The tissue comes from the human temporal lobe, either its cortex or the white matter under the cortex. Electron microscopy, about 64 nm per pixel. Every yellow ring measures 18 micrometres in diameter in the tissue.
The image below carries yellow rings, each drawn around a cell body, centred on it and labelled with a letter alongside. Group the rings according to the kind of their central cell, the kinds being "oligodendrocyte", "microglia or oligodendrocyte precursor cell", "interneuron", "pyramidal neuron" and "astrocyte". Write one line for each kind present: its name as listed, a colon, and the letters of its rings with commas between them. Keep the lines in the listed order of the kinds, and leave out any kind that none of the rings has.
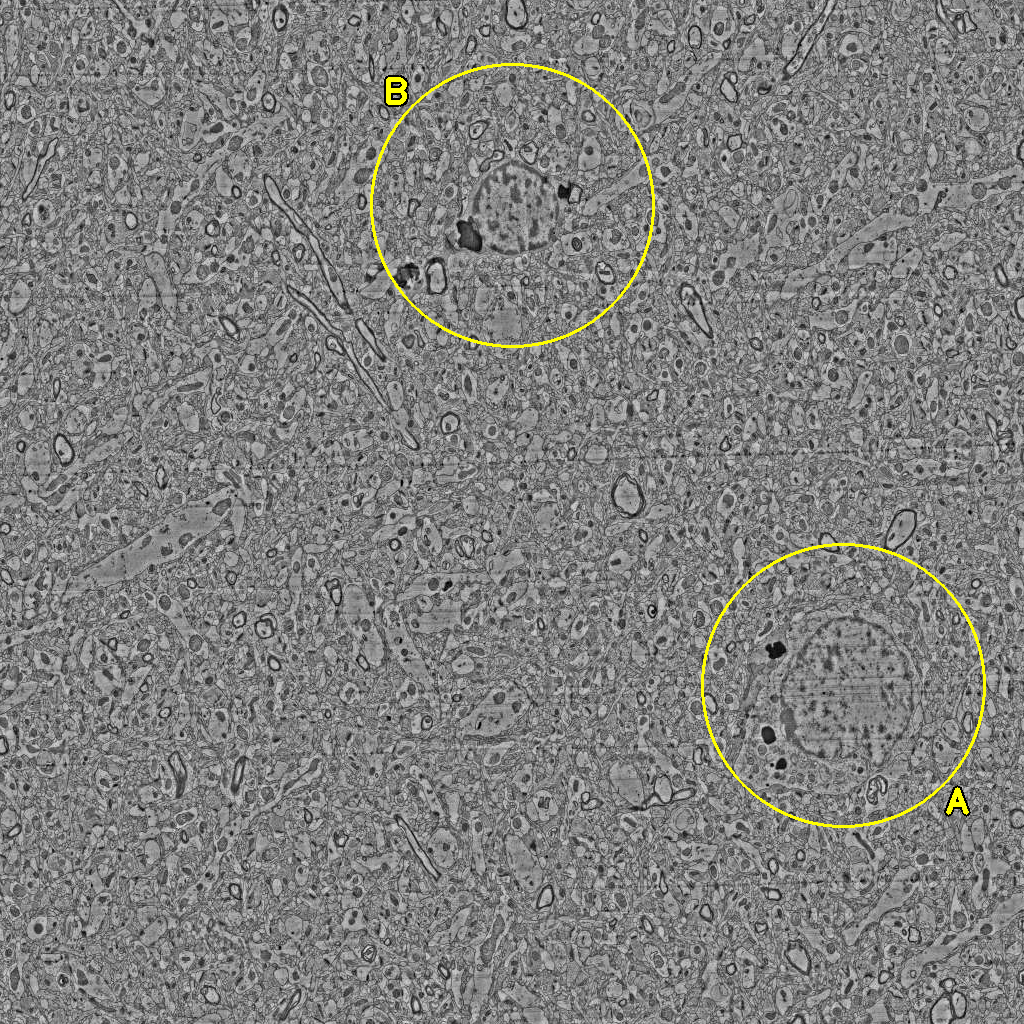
oligodendrocyte: B
interneuron: A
